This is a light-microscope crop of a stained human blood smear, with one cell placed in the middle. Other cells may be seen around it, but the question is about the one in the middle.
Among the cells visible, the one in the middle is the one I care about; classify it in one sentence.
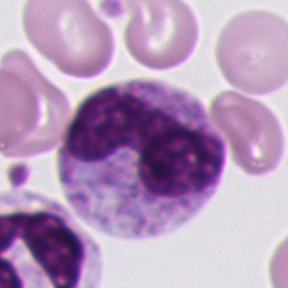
The cell shown in the center of this light-microscope crop is a band neutrophil.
